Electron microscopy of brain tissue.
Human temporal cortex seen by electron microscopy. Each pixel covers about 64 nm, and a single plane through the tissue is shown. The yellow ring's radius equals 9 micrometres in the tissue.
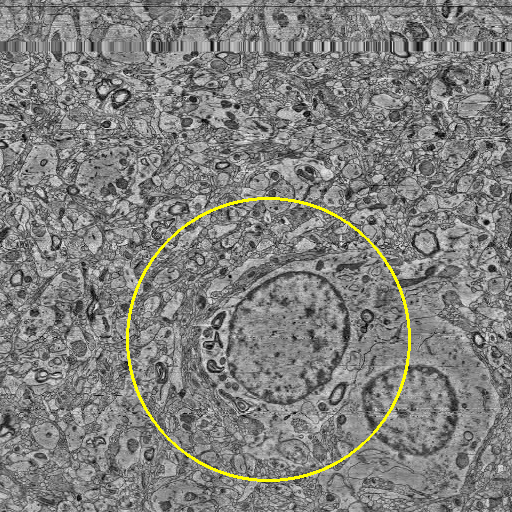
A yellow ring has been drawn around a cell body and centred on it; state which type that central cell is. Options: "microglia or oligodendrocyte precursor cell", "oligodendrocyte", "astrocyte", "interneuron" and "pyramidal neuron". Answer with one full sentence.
The cell at the middle of the yellow ring is an astrocyte in this picture.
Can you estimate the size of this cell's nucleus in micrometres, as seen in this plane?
The nucleus comes to roughly 9 by 7 micrometres in this plane.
